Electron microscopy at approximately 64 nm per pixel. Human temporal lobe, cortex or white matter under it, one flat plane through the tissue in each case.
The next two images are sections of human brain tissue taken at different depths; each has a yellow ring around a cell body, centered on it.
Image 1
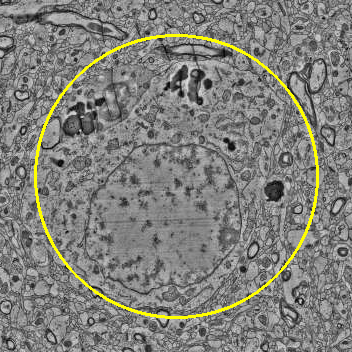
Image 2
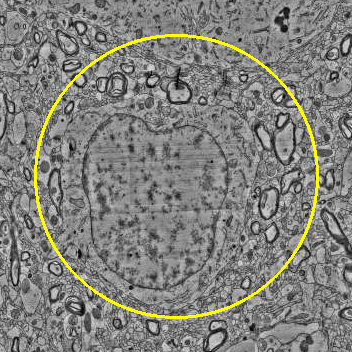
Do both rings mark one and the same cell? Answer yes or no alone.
no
